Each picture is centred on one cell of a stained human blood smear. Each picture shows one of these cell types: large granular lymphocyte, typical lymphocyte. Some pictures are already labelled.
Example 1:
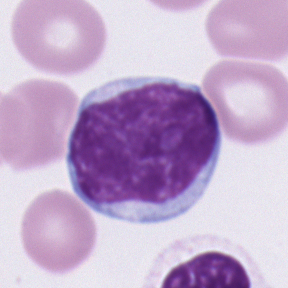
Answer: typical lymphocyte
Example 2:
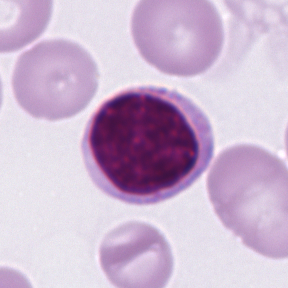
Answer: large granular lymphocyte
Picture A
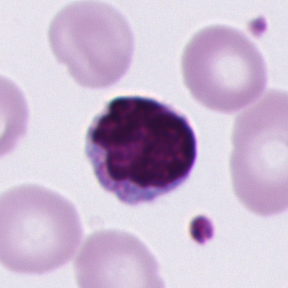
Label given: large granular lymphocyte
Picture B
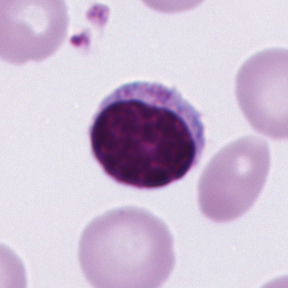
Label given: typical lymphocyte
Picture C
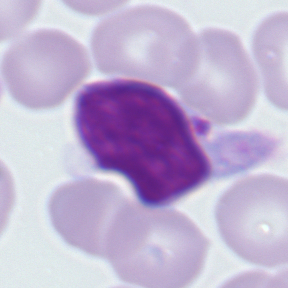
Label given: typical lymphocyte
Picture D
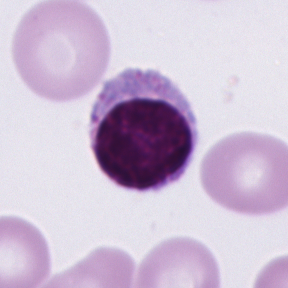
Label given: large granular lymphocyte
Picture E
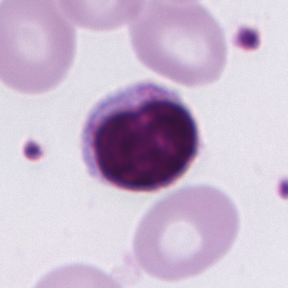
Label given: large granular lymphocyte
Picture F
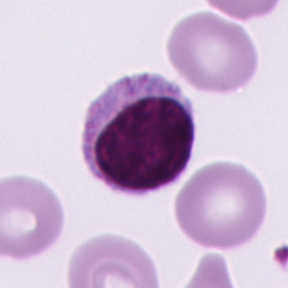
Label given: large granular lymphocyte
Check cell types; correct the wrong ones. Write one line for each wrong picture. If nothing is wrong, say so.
B: large granular lymphocyte, not typical lymphocyte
